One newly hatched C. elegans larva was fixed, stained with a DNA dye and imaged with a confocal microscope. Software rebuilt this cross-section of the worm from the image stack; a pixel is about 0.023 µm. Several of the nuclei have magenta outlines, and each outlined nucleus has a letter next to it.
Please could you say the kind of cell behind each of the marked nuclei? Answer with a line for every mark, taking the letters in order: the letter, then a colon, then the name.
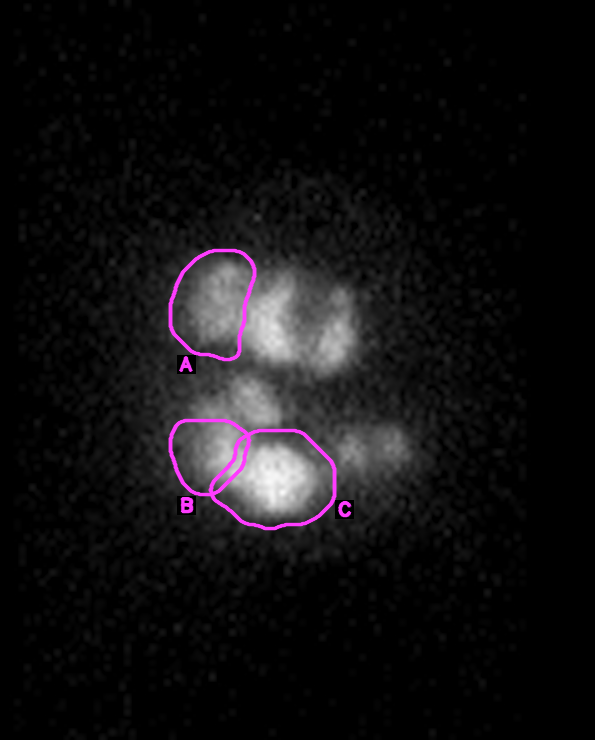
A: hypodermal cell (hyp)
B: P cell (ventral epidermal blast cell)
C: neuron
